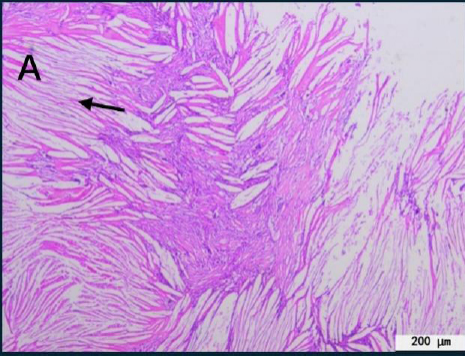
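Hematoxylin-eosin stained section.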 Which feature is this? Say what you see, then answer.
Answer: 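Numerous long, narrow, pointed empty clefts fill most of the field. The clefts lie in parallel sheaves and fan-like bundles. Thin pink strands of tissue separate the clefts.
Hence: spindle-shaped cholesterol crystals.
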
